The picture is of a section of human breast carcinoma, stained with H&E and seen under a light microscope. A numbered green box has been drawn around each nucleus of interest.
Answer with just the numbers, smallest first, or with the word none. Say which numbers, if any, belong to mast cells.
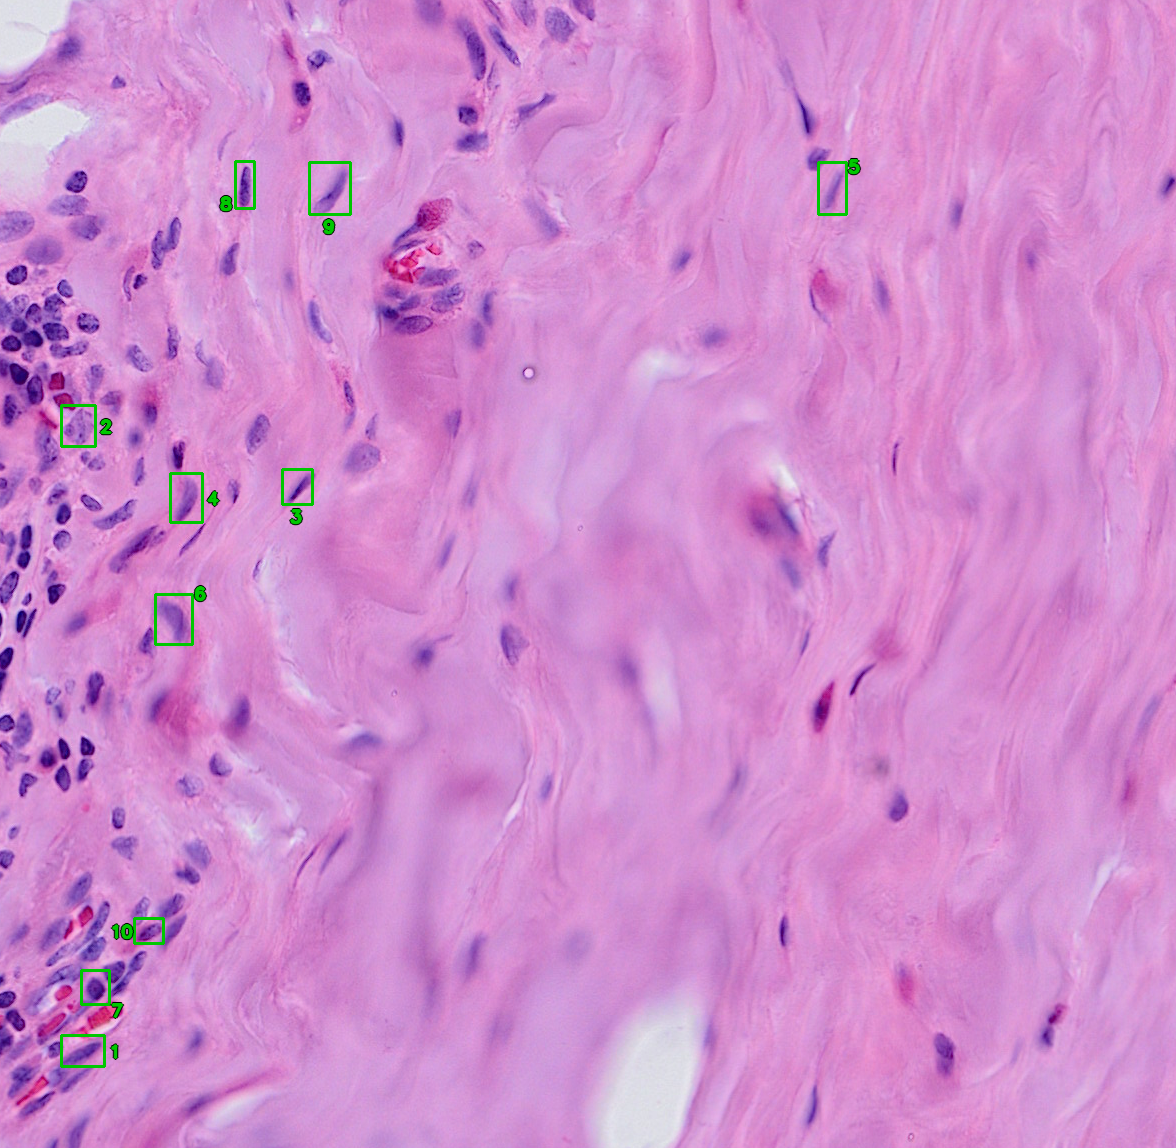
10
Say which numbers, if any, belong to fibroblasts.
3, 4, 5, 6, 8, 9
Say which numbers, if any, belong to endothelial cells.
1, 2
